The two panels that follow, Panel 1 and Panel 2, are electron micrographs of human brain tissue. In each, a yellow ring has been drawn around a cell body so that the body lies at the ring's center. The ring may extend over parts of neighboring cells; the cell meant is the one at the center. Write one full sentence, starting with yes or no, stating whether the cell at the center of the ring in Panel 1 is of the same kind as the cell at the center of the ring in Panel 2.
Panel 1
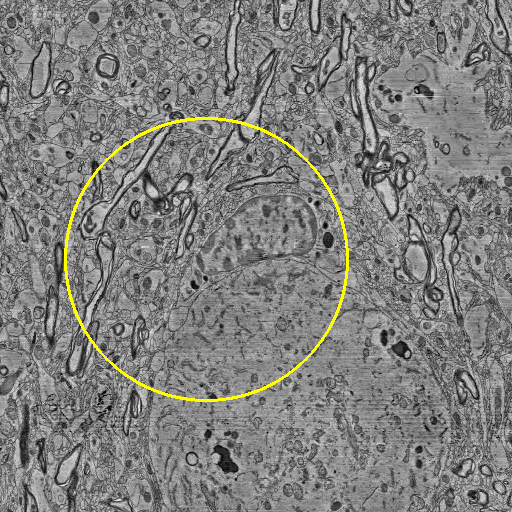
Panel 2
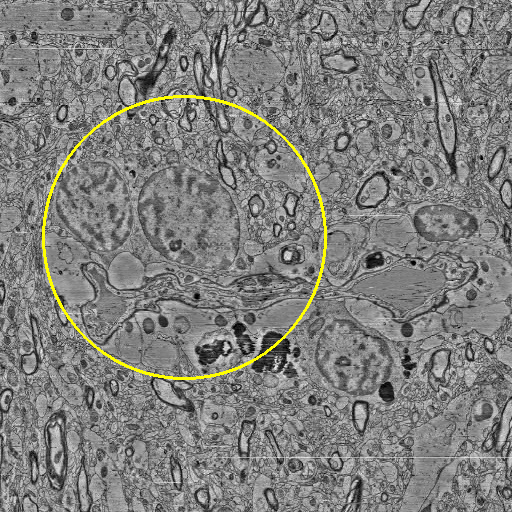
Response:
No, the cells in the two panels are of two kinds.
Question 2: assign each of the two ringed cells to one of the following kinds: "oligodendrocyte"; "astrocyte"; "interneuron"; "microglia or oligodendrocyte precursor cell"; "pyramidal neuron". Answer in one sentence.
The two cells are a microglial cell or oligodendrocyte precursor cell in the first picture and an oligodendrocyte in the second.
